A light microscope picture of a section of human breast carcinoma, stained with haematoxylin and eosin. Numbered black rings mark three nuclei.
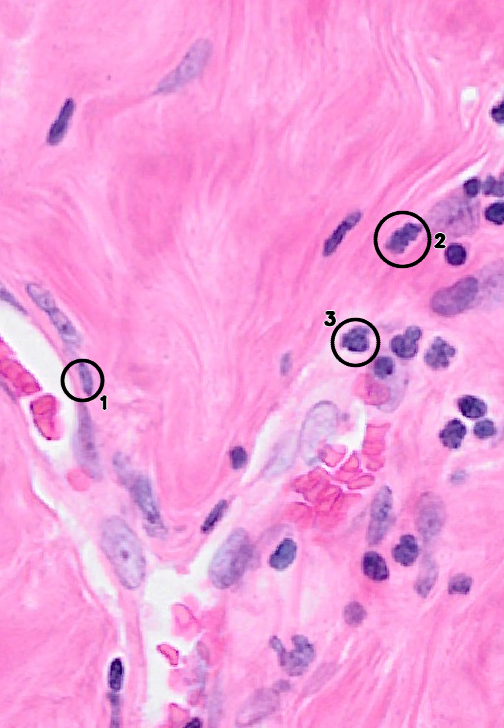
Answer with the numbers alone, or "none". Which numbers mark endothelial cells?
1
